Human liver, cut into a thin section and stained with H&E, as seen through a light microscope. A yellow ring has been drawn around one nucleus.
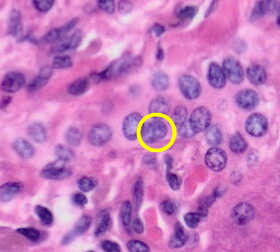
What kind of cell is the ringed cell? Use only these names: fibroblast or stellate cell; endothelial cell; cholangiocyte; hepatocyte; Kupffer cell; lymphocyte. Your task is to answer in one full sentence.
It is as a cholangiocyte that the ringed cell is recorded.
